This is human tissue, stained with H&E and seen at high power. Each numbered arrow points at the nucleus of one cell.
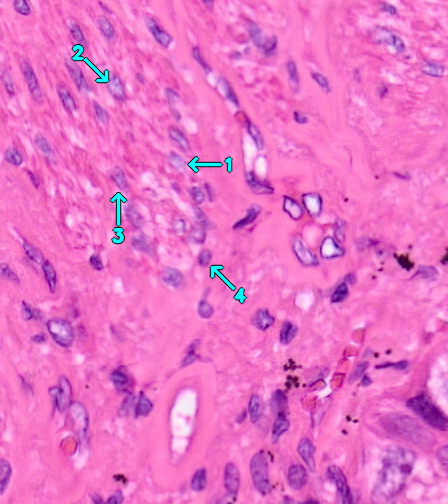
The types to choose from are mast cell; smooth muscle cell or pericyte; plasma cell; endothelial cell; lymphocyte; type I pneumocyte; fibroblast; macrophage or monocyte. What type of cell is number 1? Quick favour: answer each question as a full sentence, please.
The nucleus marked 1 is the nucleus of a smooth muscle cell or pericyte.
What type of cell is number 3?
The cell pointed out by number 3 is a smooth muscle cell or pericyte.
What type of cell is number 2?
The cell marked with the number 2 is a smooth muscle cell or pericyte.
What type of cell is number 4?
Cell 4 should be recorded as a mast cell.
